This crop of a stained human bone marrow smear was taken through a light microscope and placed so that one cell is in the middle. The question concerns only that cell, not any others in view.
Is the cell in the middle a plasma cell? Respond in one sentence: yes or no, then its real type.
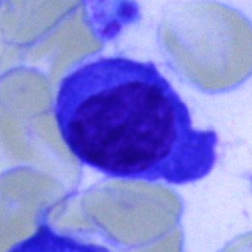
Yes, the cell occupying the middle of the crop is a plasma cell.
